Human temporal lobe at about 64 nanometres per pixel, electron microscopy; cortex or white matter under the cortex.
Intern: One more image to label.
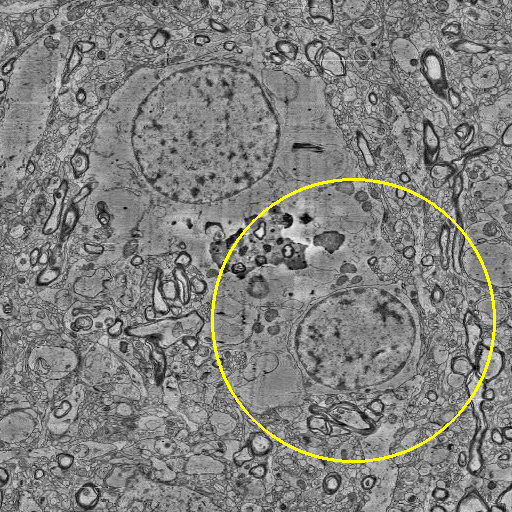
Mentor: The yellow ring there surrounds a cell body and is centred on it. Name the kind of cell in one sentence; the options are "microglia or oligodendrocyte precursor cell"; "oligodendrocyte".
The ring marks the cell body of a microglial cell or oligodendrocyte precursor cell.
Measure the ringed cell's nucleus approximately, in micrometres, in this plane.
Approximately 7 micrometres across, in this plane.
